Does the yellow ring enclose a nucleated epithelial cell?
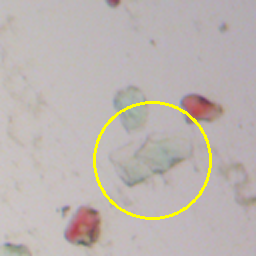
No. The ring encloses a cornified epithelial cell.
